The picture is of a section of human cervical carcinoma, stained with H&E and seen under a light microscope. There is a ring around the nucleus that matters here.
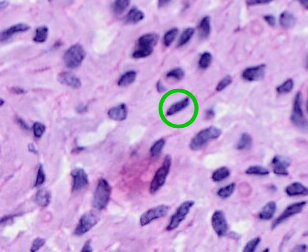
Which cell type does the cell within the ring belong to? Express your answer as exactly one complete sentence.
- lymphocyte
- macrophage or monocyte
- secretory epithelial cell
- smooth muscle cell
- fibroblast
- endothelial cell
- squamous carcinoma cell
At the level of cell identity, the cell within the ring is a fibroblast.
